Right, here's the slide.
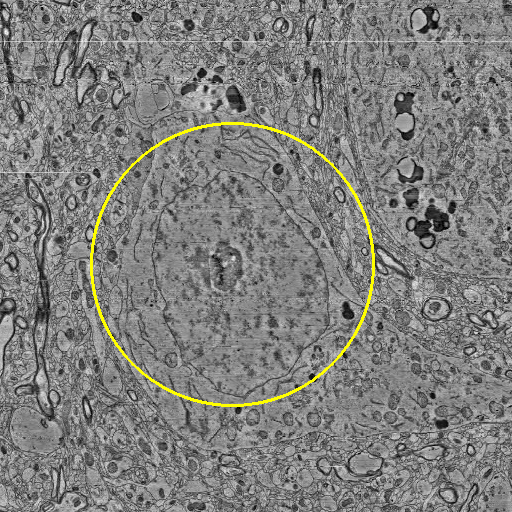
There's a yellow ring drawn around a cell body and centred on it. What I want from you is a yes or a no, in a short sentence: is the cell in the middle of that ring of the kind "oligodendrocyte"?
No, it's of some other kind.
